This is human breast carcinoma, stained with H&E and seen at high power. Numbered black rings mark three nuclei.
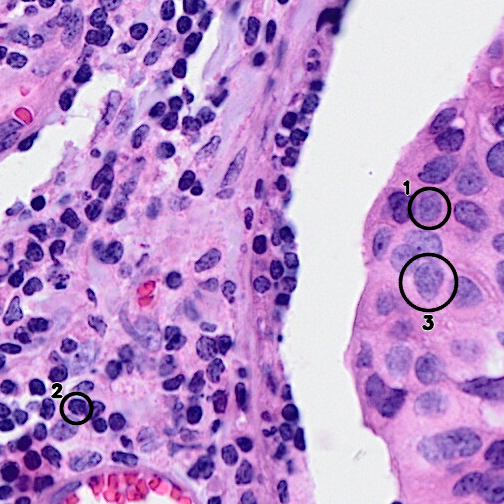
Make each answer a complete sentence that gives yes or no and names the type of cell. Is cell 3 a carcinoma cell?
Yes, it is a carcinoma cell that number 3 identifies.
